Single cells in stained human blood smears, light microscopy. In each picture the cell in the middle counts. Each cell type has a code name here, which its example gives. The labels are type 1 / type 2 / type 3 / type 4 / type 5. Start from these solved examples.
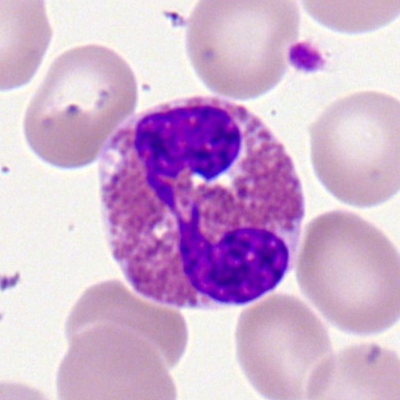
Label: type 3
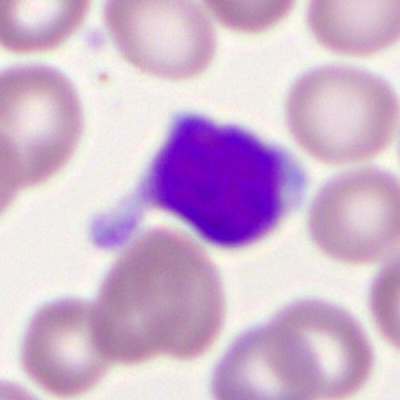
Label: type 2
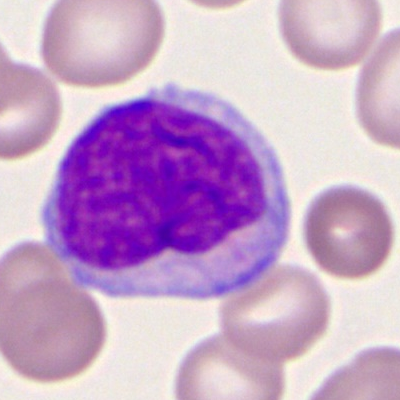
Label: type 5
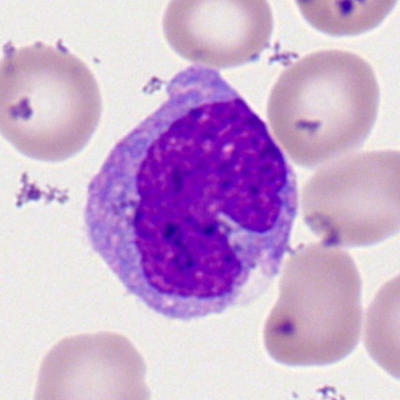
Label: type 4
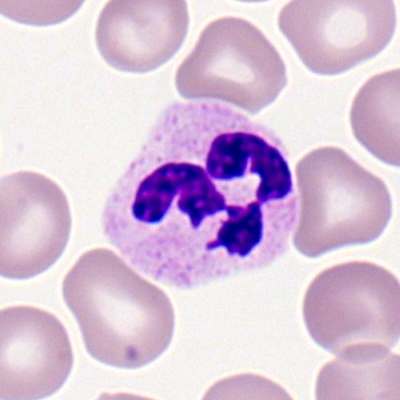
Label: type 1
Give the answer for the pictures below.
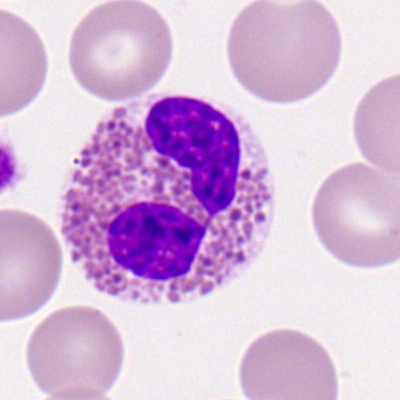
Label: type 3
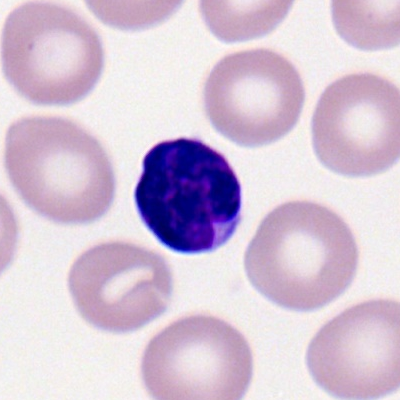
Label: type 2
